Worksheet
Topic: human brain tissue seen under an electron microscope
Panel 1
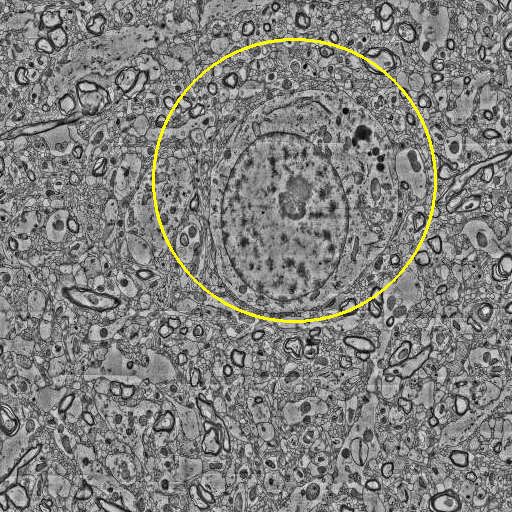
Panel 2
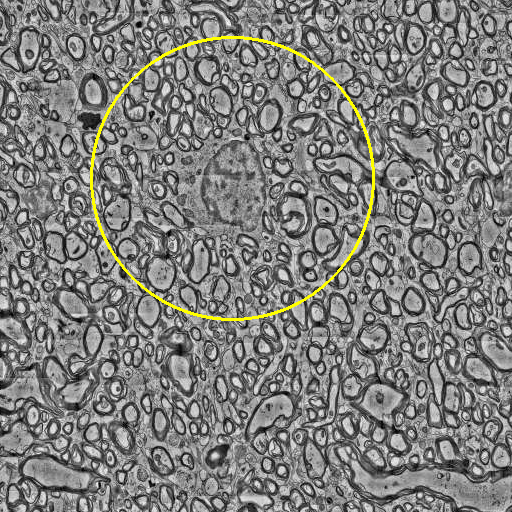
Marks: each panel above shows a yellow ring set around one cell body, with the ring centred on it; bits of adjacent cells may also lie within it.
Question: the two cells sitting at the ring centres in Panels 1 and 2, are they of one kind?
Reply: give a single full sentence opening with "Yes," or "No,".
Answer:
No, the two ring-centre cells in Panel 1 and Panel 2 are of two kinds.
